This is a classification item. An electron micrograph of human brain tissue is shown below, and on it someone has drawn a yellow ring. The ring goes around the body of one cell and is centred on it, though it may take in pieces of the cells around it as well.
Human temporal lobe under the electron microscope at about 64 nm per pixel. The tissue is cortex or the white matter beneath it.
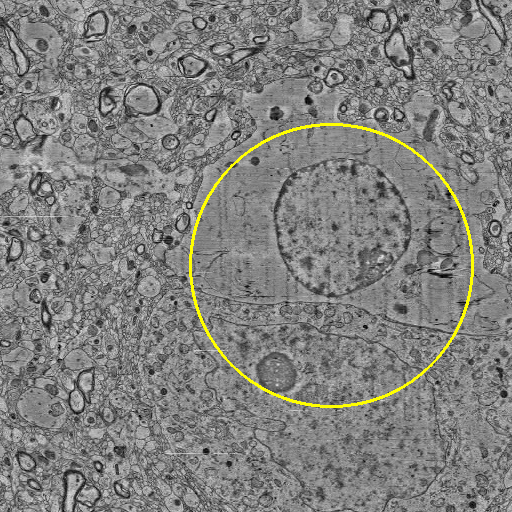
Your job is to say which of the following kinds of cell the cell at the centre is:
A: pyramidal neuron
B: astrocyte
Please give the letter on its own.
B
